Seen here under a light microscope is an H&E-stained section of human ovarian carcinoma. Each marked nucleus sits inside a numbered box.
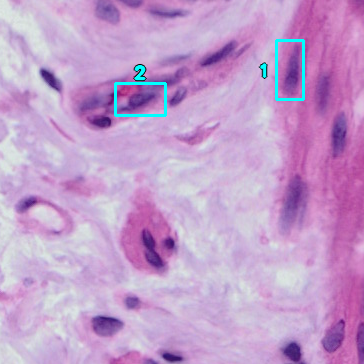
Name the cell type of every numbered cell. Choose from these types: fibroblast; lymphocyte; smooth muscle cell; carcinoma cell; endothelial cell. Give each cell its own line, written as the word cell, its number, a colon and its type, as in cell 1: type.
cell 1: smooth muscle cell
cell 2: endothelial cell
